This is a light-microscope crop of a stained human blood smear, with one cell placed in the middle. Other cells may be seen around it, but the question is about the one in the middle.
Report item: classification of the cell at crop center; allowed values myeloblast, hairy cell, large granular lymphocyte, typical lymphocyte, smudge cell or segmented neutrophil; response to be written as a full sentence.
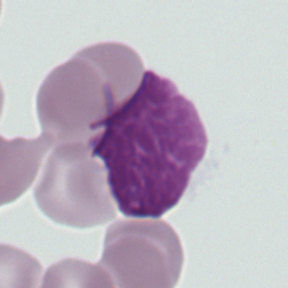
Here the centrally located cell is a smudge cell.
